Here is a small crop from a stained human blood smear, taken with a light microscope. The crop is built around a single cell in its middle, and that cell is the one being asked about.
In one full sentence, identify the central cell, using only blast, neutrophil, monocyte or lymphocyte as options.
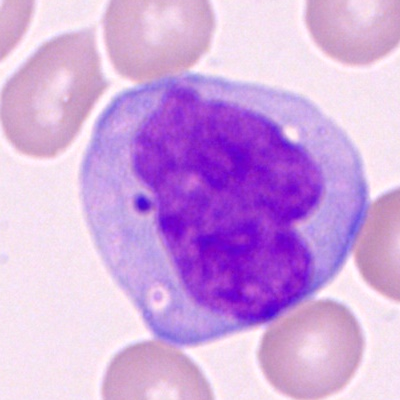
The single cell at the center of the crop is a monocyte.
